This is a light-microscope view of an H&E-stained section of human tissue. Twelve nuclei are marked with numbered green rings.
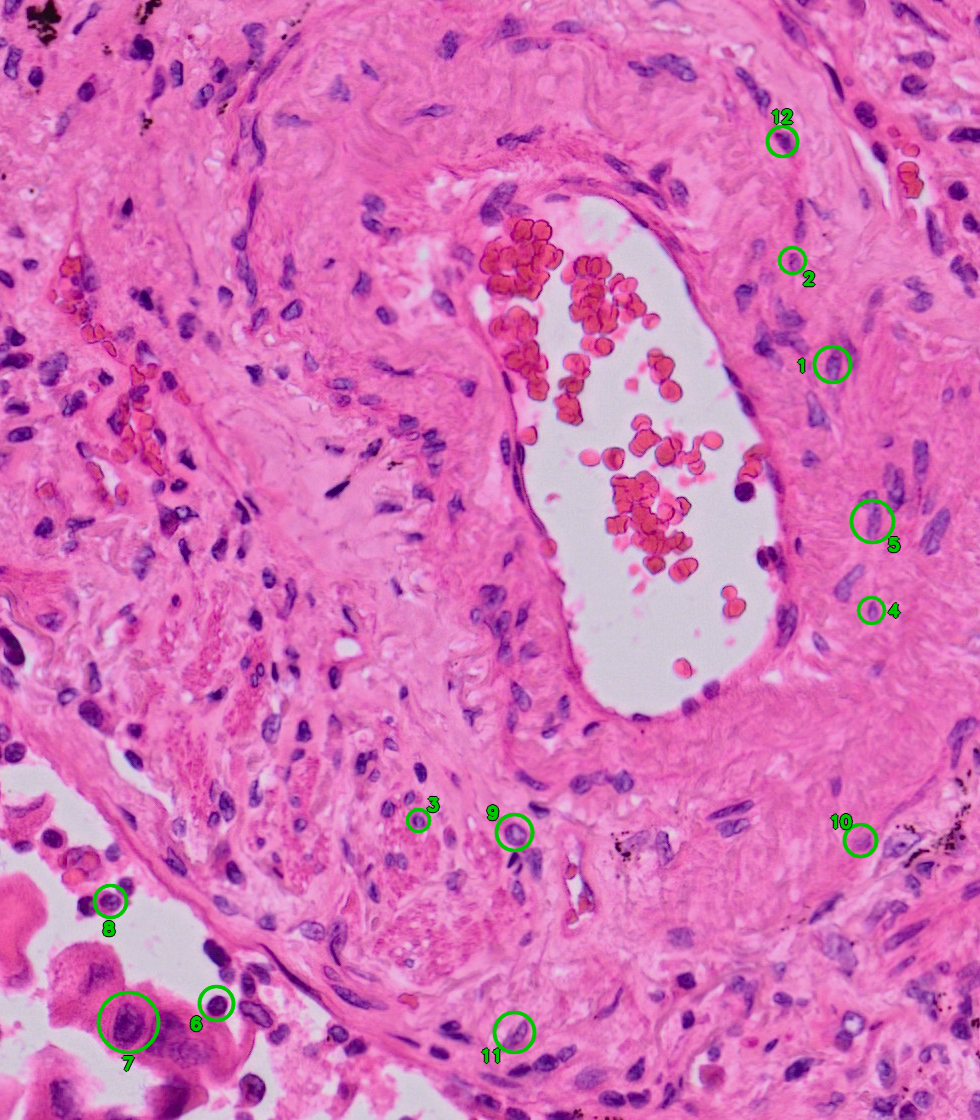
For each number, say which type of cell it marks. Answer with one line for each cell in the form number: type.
1: smooth muscle cell or pericyte
2: smooth muscle cell or pericyte
3: smooth muscle cell or pericyte
4: smooth muscle cell or pericyte
5: smooth muscle cell or pericyte
6: lymphocyte
7: carcinoma cell
8: lymphocyte
9: mast cell
10: smooth muscle cell or pericyte
11: fibroblast
12: smooth muscle cell or pericyte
